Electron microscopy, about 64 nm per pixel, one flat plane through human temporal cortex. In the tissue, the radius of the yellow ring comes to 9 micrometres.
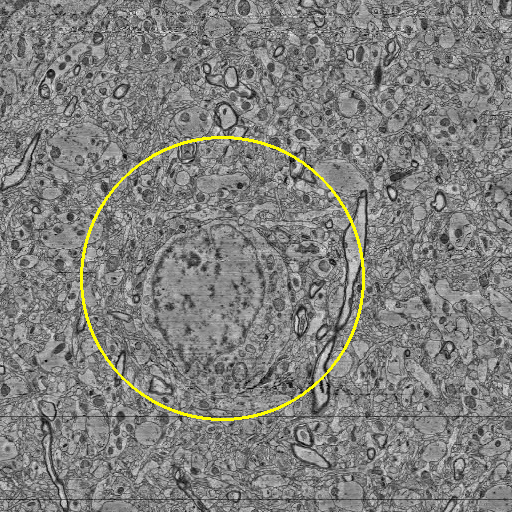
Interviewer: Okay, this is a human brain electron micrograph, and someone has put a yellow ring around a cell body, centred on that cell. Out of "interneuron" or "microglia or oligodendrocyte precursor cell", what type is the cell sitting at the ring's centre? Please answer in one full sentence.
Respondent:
The cell at the centre of the yellow ring in this picture is an interneuron.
